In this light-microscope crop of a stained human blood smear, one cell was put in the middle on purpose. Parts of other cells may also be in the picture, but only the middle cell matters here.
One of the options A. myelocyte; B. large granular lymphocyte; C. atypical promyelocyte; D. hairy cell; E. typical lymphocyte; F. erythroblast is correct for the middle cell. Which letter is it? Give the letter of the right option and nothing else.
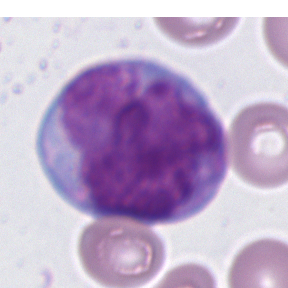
C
